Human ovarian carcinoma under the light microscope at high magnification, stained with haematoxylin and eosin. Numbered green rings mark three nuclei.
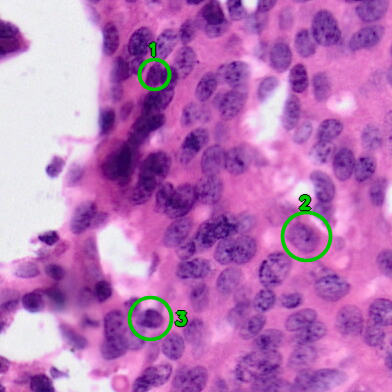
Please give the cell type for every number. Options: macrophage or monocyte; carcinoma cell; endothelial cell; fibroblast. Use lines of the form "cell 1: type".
cell 1: carcinoma cell
cell 2: endothelial cell
cell 3: carcinoma cell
